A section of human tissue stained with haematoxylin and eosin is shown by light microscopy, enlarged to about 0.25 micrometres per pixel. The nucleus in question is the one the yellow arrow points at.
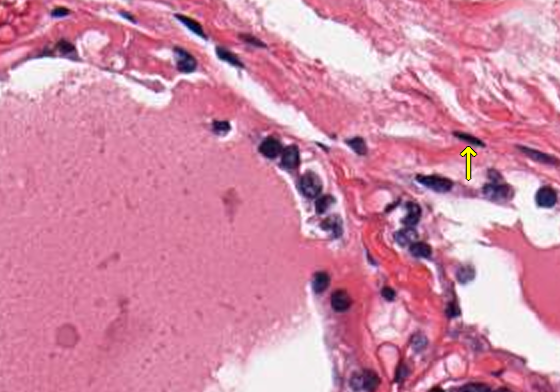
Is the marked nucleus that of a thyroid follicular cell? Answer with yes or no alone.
no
